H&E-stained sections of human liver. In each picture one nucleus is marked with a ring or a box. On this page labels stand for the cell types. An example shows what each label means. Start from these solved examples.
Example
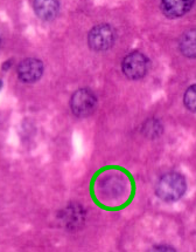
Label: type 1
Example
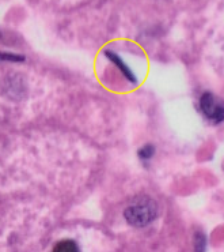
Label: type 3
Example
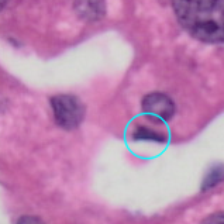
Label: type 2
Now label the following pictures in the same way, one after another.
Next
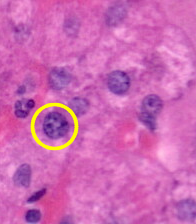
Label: type 1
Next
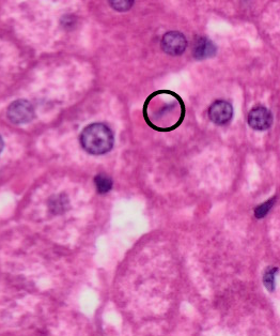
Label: type 3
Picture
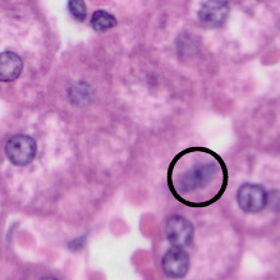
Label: type 2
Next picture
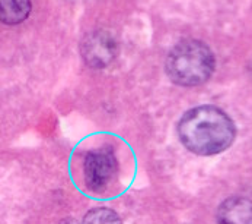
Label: type 2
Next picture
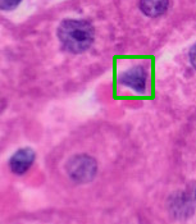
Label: type 3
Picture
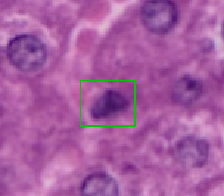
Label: type 3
